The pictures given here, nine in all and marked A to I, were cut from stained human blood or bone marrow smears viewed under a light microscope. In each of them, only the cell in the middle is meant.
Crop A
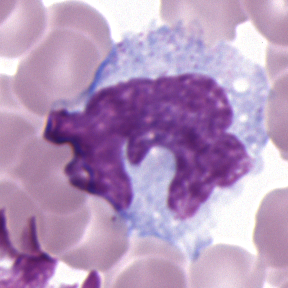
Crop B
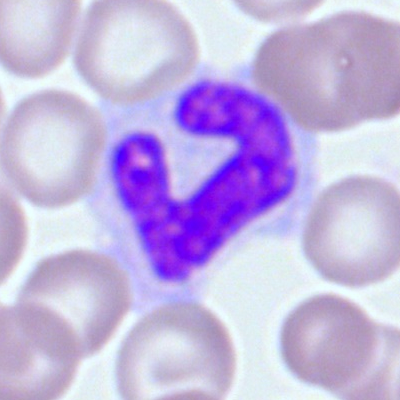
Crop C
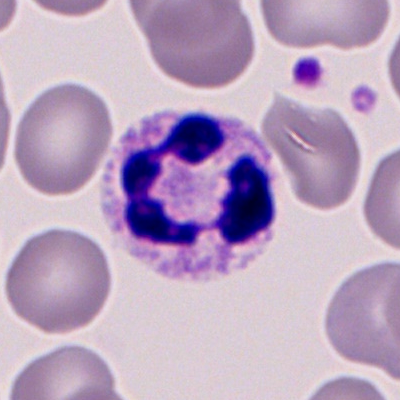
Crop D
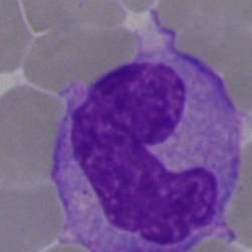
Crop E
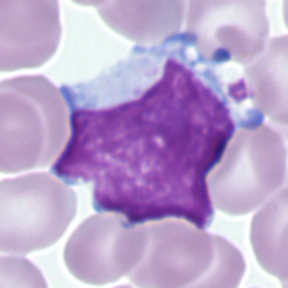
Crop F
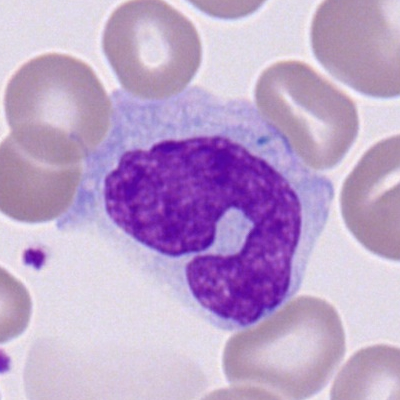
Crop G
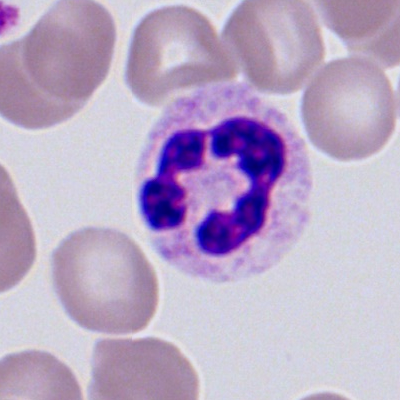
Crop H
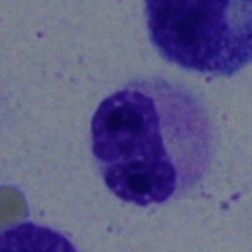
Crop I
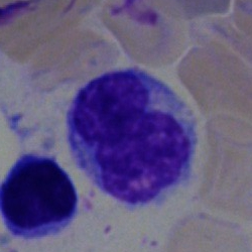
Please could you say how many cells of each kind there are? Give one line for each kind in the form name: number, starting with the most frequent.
monocyte: 6
segmented neutrophil: 3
